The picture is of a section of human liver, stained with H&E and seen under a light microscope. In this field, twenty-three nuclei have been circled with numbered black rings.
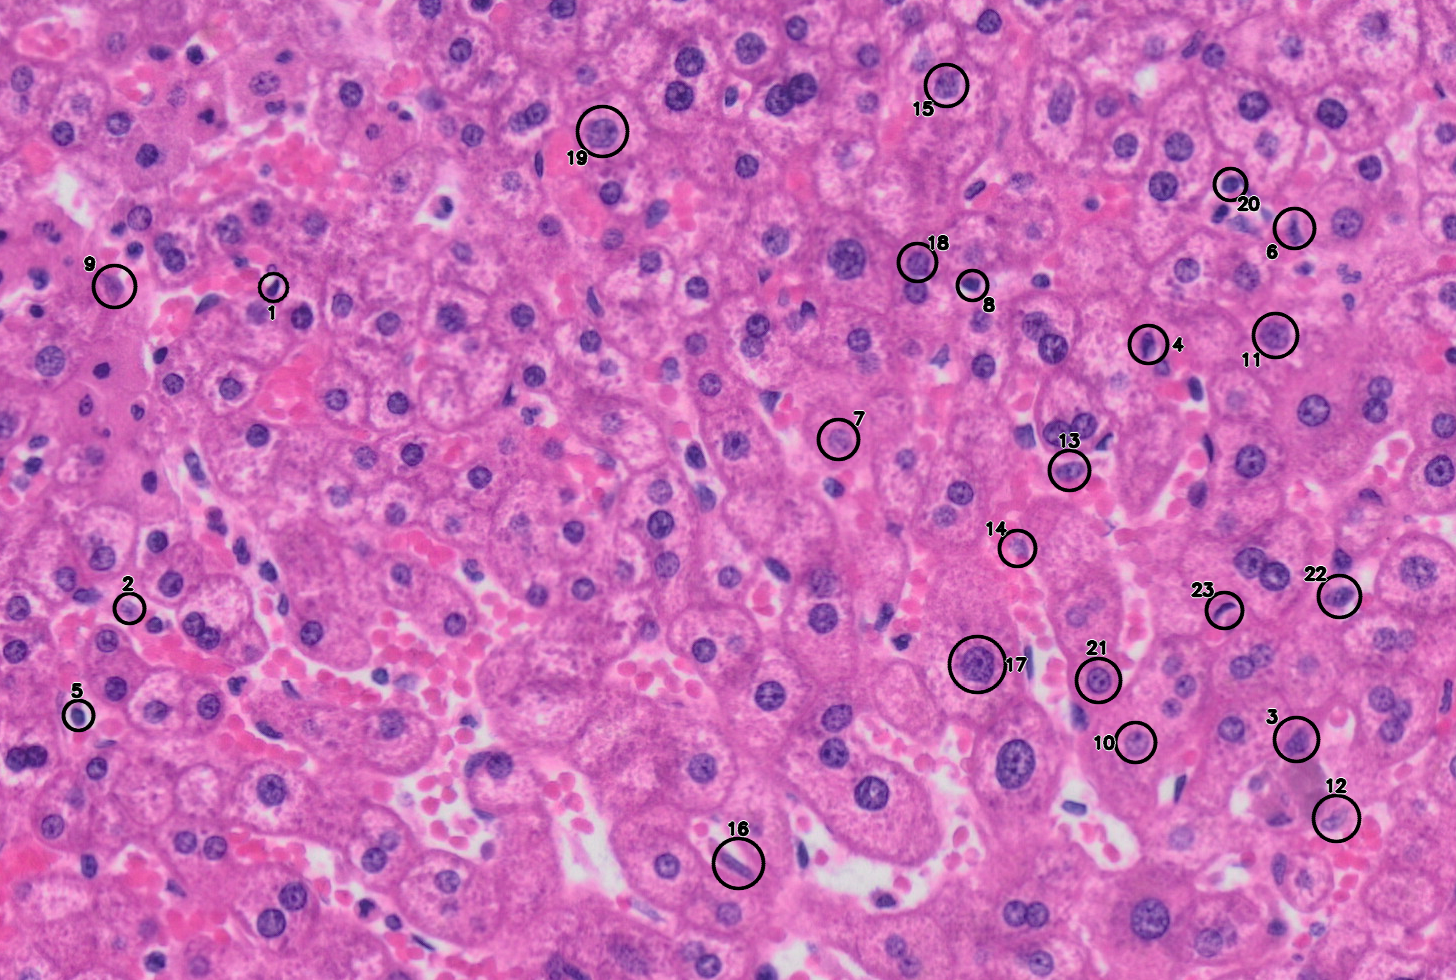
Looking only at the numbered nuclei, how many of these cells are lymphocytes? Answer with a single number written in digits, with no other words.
3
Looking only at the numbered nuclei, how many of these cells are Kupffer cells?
5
